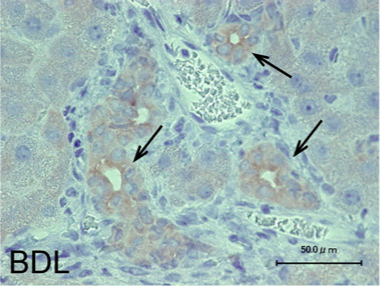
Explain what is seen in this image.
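This is a portal area of liver with a large vessel containing packed red blood cells, surrounded by loose connective tissue with many small elongated nuclei. Several ring-shaped clusters of cuboidal cells with blue round nuclei enclose tiny central lumens and have brown-stained cytoplasm. These are bile ducts, lying among the connective tissue of the portal tract. Larger polygonal hepatocytes with round nuclei border the area and show a fainter tint.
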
